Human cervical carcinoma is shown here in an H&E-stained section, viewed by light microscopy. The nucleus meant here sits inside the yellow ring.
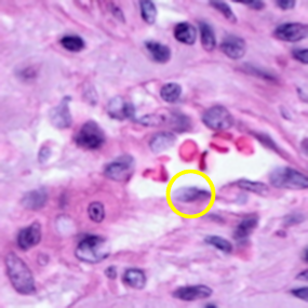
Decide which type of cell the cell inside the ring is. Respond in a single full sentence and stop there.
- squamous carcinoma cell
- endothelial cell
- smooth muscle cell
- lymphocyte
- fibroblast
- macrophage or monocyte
Among the cells in this section, the cell inside the ring is an endothelial cell.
